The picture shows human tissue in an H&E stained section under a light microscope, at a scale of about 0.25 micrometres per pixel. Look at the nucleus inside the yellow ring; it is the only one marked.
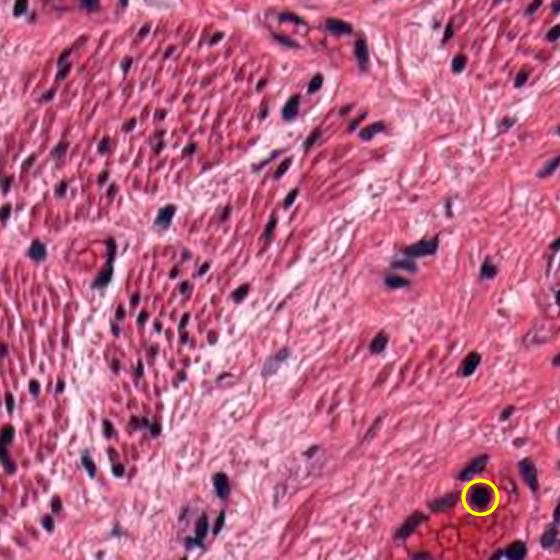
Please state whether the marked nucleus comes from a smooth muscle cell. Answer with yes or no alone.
no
